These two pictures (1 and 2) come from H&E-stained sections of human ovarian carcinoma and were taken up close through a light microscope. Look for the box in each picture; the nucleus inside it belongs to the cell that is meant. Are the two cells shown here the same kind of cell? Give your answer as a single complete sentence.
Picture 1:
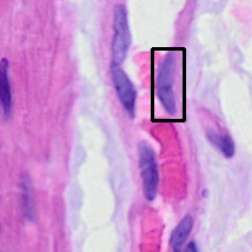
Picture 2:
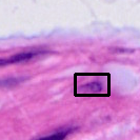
No; the cell in picture 1 is an endothelial cell, while the one in picture 2 is a smooth muscle cell.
